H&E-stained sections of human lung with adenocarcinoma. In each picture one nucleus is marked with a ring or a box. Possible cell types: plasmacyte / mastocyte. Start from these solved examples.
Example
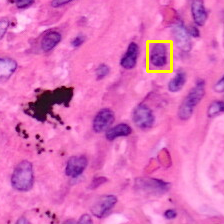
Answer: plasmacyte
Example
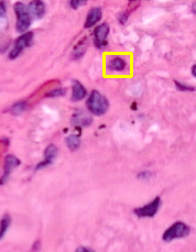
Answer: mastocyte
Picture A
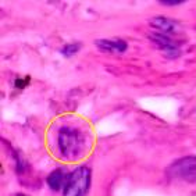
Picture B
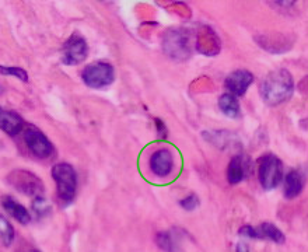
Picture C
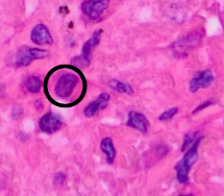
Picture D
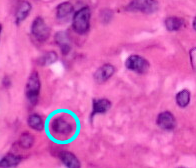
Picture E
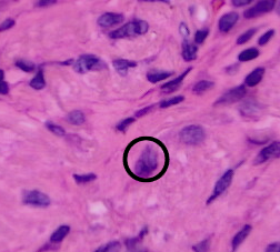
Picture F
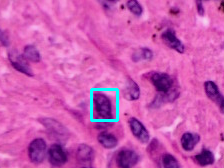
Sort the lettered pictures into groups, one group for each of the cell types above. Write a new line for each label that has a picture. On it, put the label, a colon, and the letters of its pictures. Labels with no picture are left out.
plasmacyte: C, D, E, F
mastocyte: A, B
